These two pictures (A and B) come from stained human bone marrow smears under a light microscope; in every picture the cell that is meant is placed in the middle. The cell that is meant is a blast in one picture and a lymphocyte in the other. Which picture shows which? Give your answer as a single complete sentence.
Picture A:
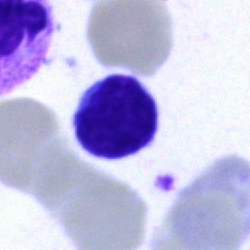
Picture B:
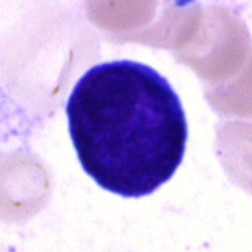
Picture A is of a lymphocyte, and picture B is of a blast.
